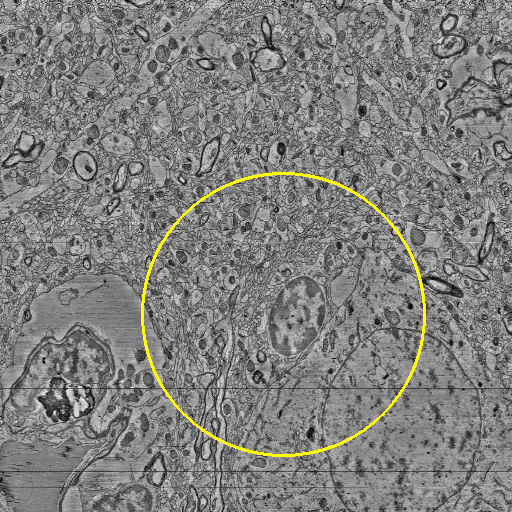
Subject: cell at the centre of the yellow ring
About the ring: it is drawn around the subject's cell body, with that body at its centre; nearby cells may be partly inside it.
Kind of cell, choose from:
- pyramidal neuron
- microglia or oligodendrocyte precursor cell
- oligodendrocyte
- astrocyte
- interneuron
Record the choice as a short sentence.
The subject cell is a microglial cell or oligodendrocyte precursor cell.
